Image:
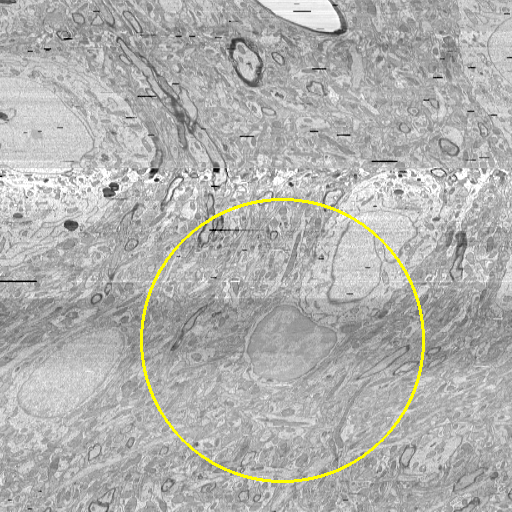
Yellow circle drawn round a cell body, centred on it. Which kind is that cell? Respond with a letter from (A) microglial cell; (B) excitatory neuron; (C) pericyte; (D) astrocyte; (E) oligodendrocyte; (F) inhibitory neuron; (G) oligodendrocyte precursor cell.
A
